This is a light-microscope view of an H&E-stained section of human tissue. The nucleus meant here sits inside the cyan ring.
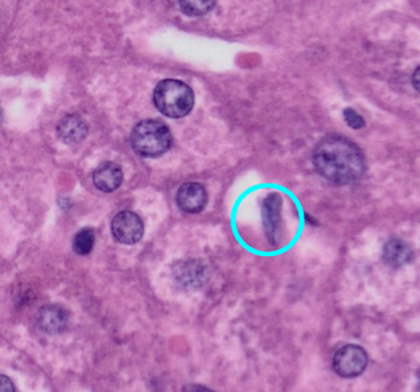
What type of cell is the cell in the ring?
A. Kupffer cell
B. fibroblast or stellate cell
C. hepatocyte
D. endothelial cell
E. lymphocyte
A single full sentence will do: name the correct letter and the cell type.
Option A is accurate, for the cell in the ring is a Kupffer cell.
